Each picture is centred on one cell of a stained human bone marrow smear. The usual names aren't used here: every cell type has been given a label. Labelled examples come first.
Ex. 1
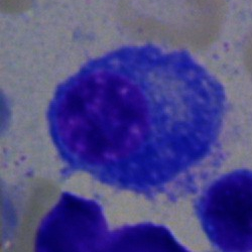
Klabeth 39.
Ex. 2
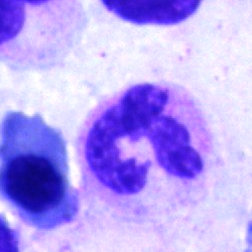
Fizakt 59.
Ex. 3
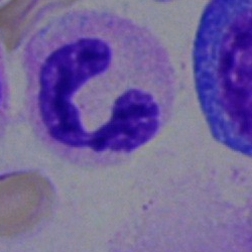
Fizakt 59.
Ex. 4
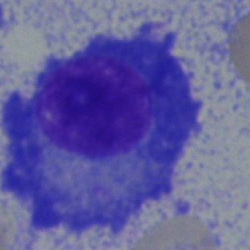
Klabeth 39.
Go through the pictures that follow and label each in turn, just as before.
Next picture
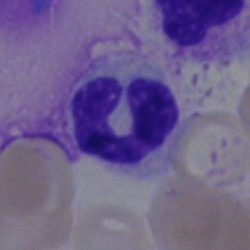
Fizakt 59.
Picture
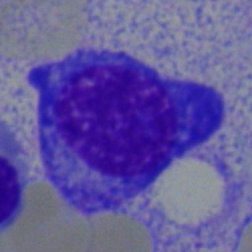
Klabeth 39.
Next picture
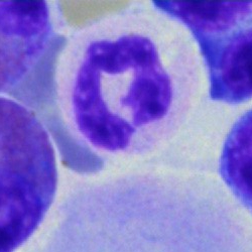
Fizakt 59.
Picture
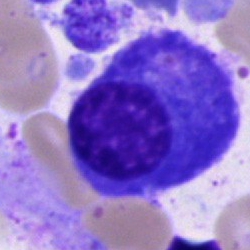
Klabeth 39.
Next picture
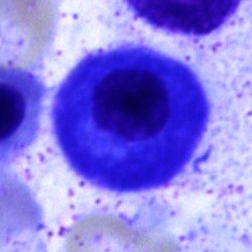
Klabeth 39.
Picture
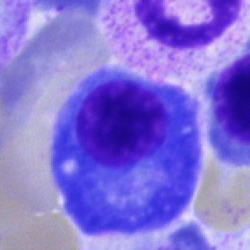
Klabeth 39.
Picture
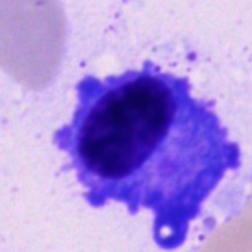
Klabeth 39.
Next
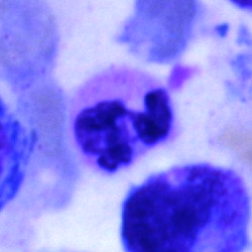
Fizakt 59.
